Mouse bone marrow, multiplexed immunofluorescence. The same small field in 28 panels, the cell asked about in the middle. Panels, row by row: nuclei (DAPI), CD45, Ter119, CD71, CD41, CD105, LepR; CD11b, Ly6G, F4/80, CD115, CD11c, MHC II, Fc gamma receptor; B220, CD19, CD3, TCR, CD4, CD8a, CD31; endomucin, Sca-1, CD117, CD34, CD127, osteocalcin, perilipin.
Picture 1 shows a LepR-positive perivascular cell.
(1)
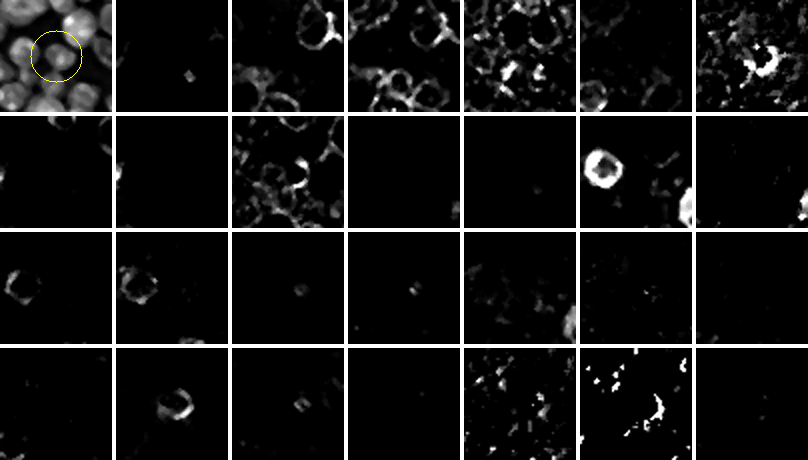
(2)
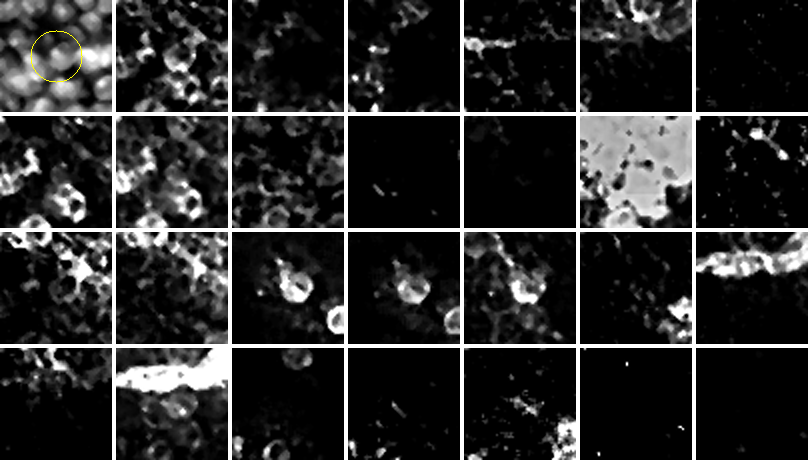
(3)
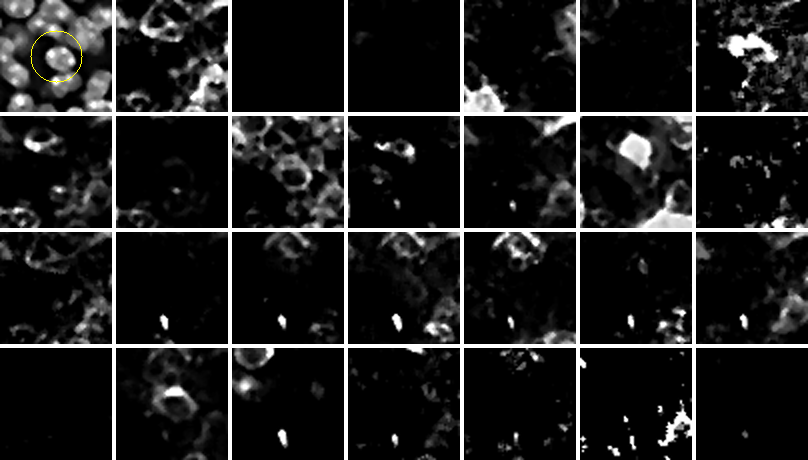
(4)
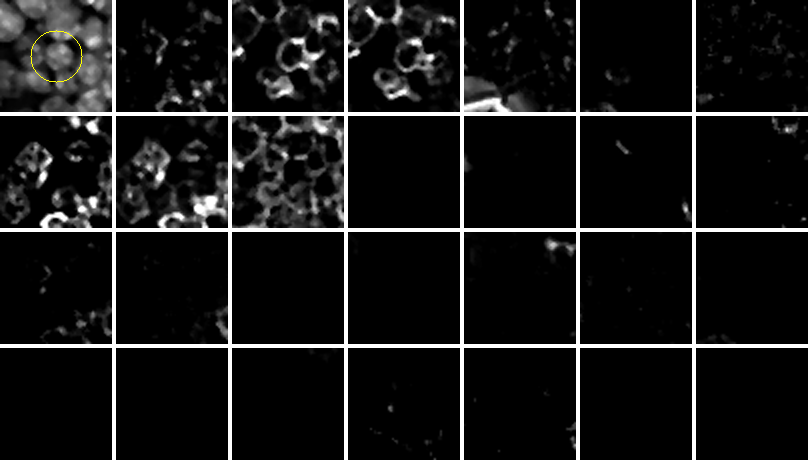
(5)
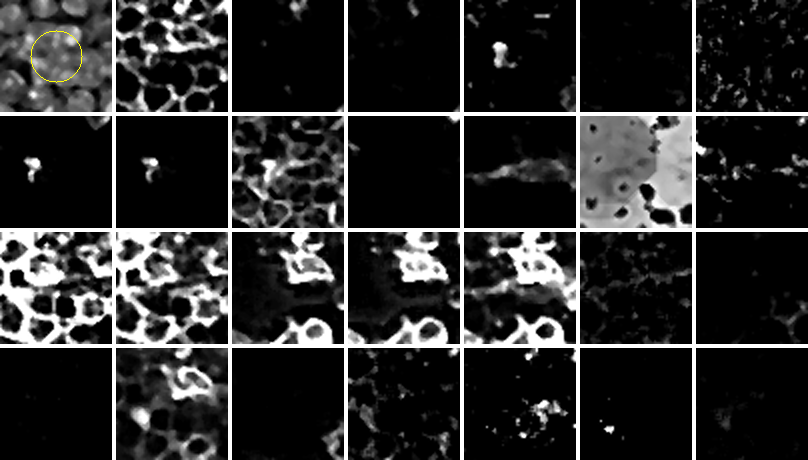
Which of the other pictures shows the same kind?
Picture 3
